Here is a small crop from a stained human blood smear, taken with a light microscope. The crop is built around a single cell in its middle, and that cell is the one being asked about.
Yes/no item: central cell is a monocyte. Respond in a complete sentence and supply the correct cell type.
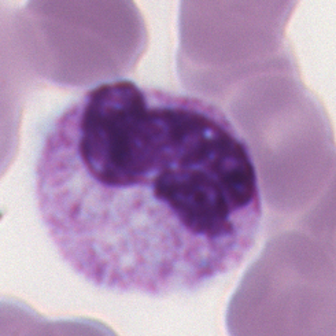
No, the cell sitting in the centre of the crop is a segmented neutrophil, not a monocyte.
